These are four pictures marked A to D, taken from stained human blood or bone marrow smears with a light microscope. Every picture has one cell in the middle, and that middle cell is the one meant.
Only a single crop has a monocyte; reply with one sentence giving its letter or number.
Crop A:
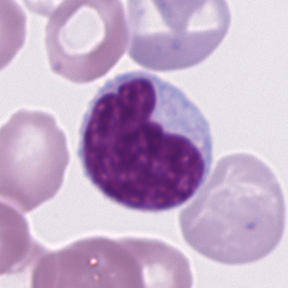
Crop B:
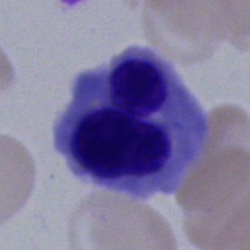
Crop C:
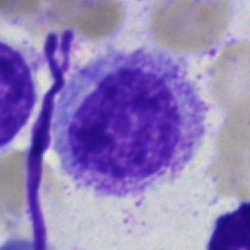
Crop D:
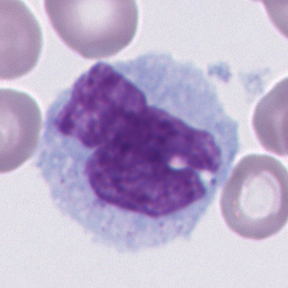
The sole crop showing a monocyte is crop D.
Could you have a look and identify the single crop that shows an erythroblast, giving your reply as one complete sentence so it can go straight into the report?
The crop that shows an erythroblast is crop B.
